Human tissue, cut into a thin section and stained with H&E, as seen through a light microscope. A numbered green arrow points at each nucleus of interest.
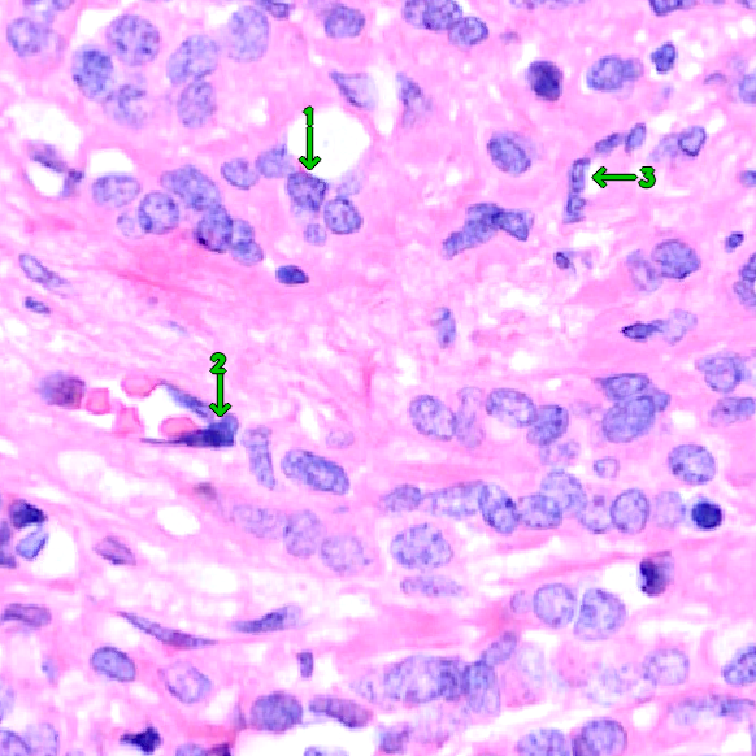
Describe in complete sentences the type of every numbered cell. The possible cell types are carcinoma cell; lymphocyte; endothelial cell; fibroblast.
Cell 1 is a carcinoma cell. Cells 2 and 3 are endothelial cells.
